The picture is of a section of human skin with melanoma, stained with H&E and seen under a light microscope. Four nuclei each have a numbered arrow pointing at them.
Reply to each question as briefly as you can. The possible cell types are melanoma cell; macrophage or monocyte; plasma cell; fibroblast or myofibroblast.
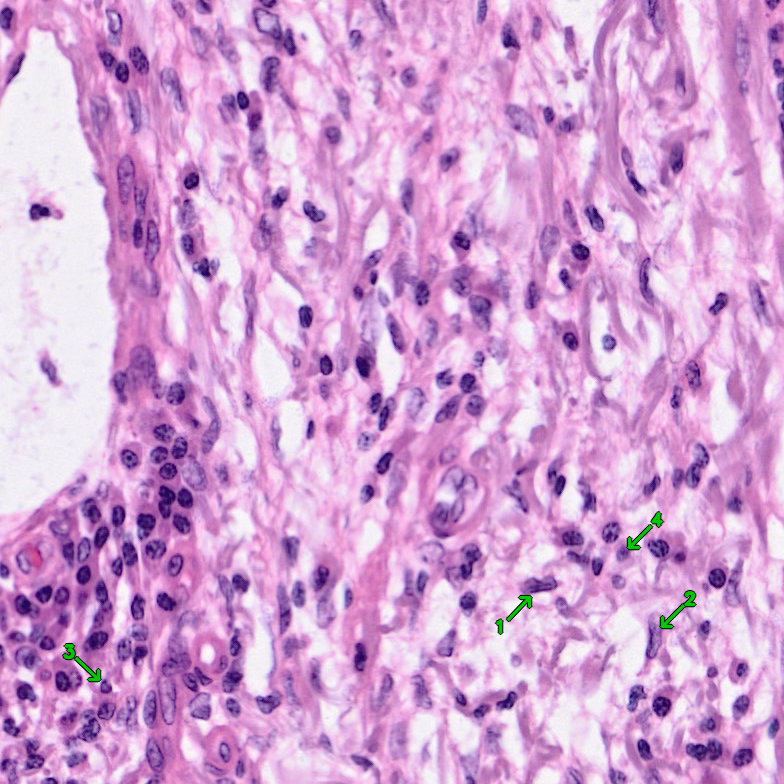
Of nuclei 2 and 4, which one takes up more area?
2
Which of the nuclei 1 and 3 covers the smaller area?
3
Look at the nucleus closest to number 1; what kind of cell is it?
fibroblast or myofibroblast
